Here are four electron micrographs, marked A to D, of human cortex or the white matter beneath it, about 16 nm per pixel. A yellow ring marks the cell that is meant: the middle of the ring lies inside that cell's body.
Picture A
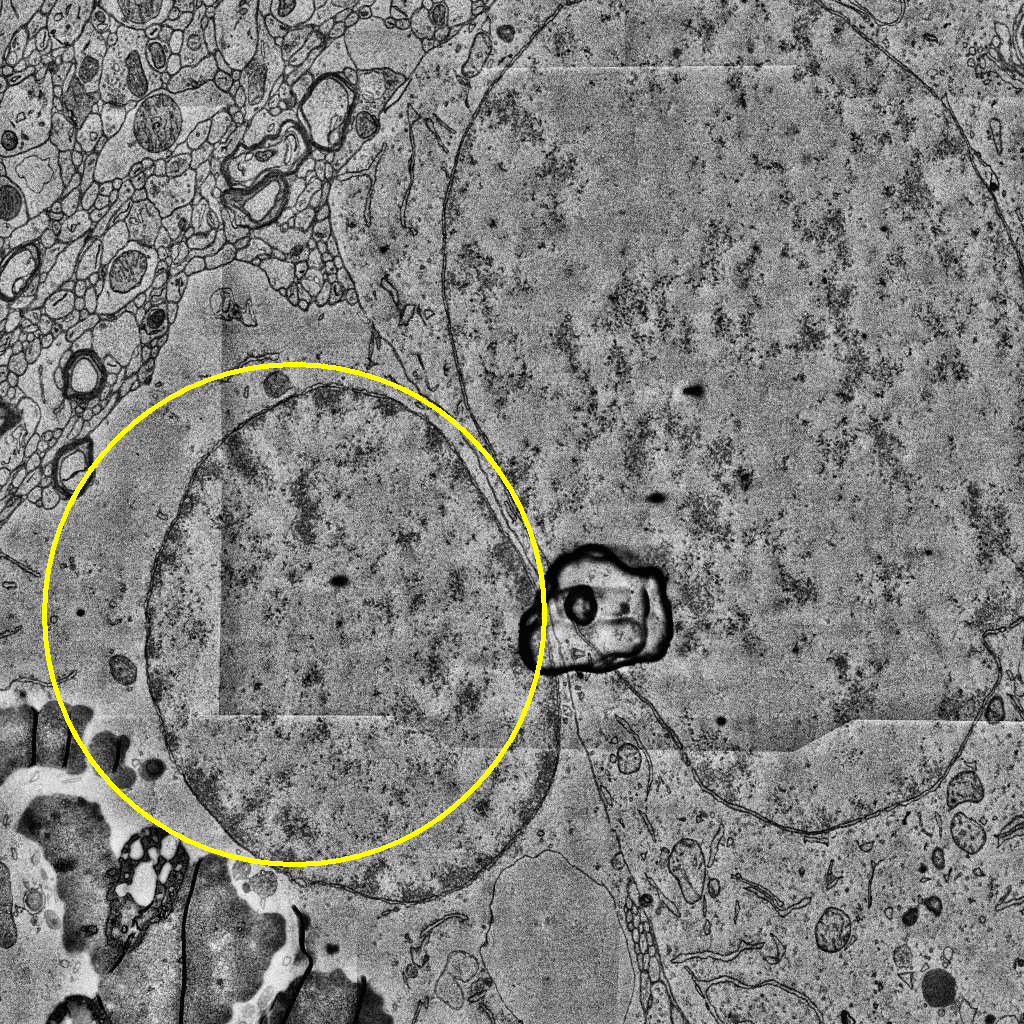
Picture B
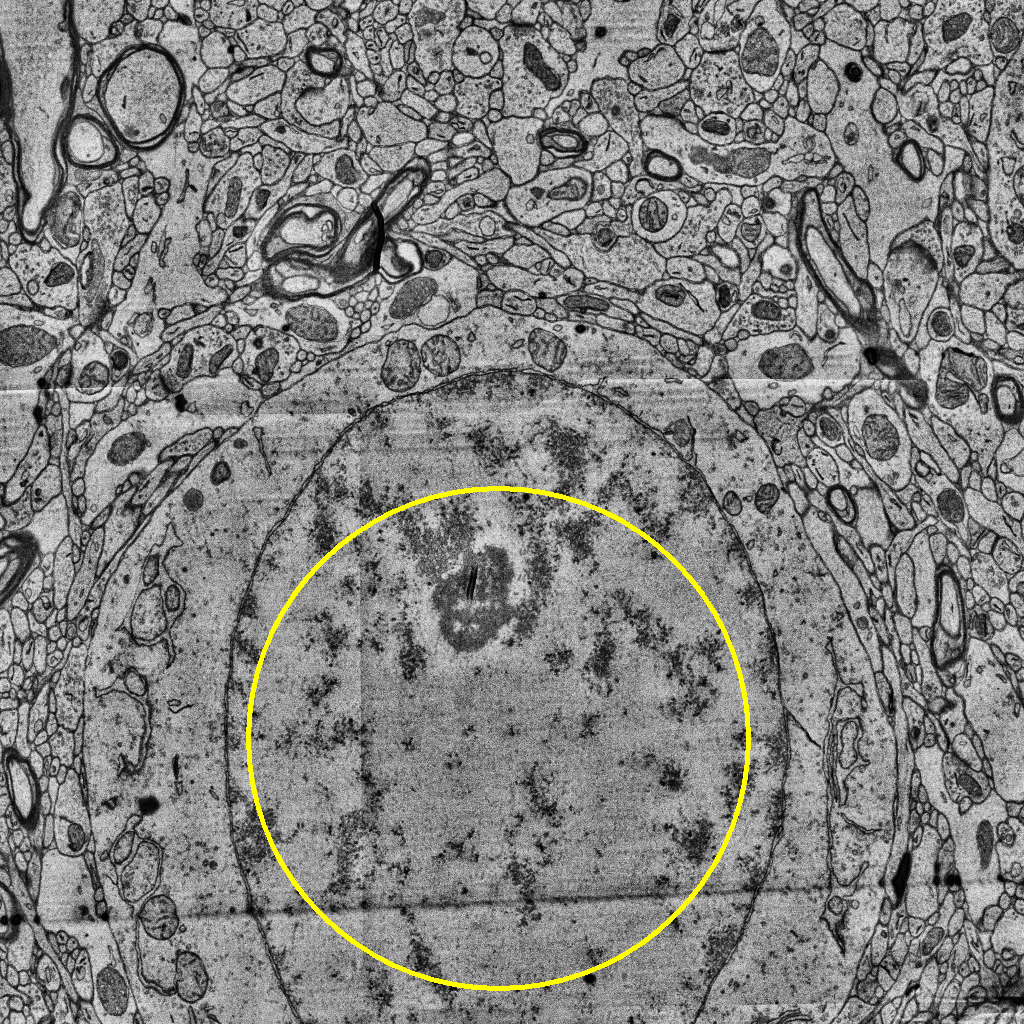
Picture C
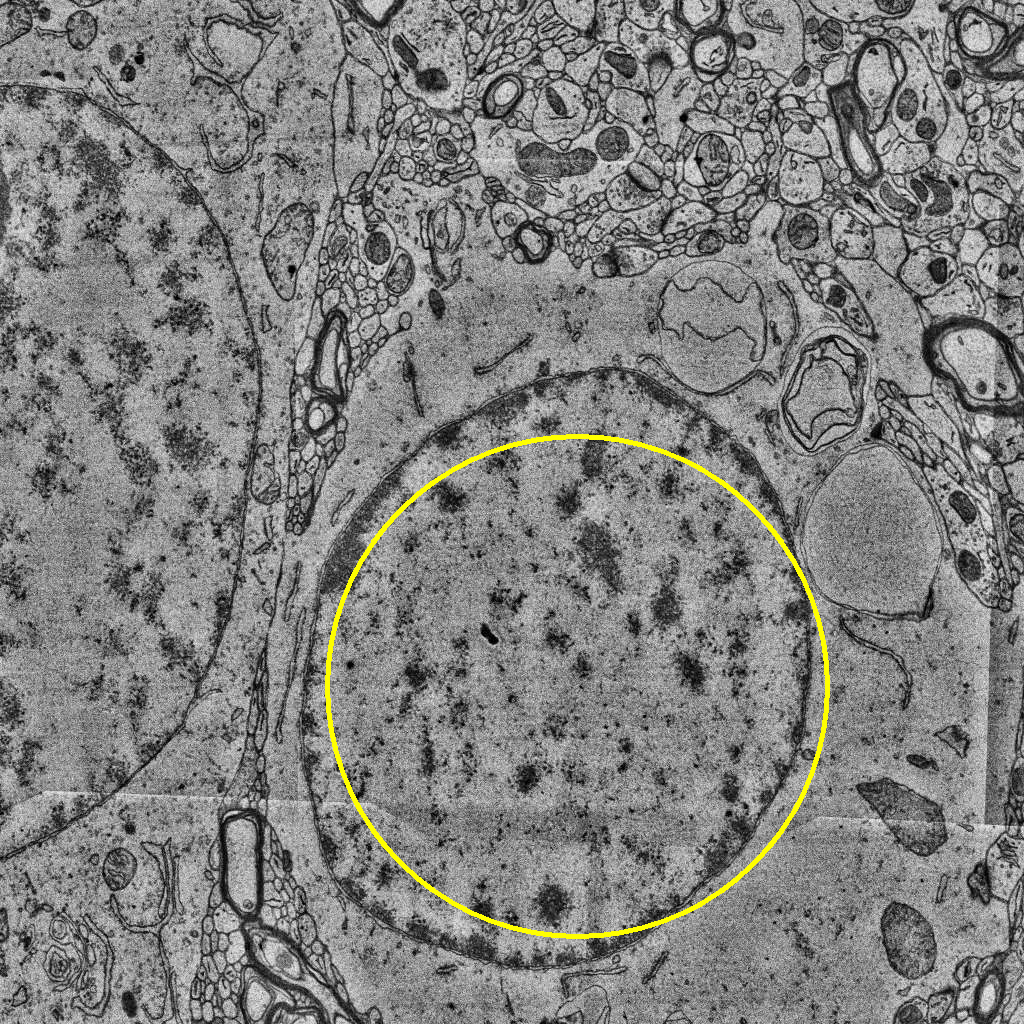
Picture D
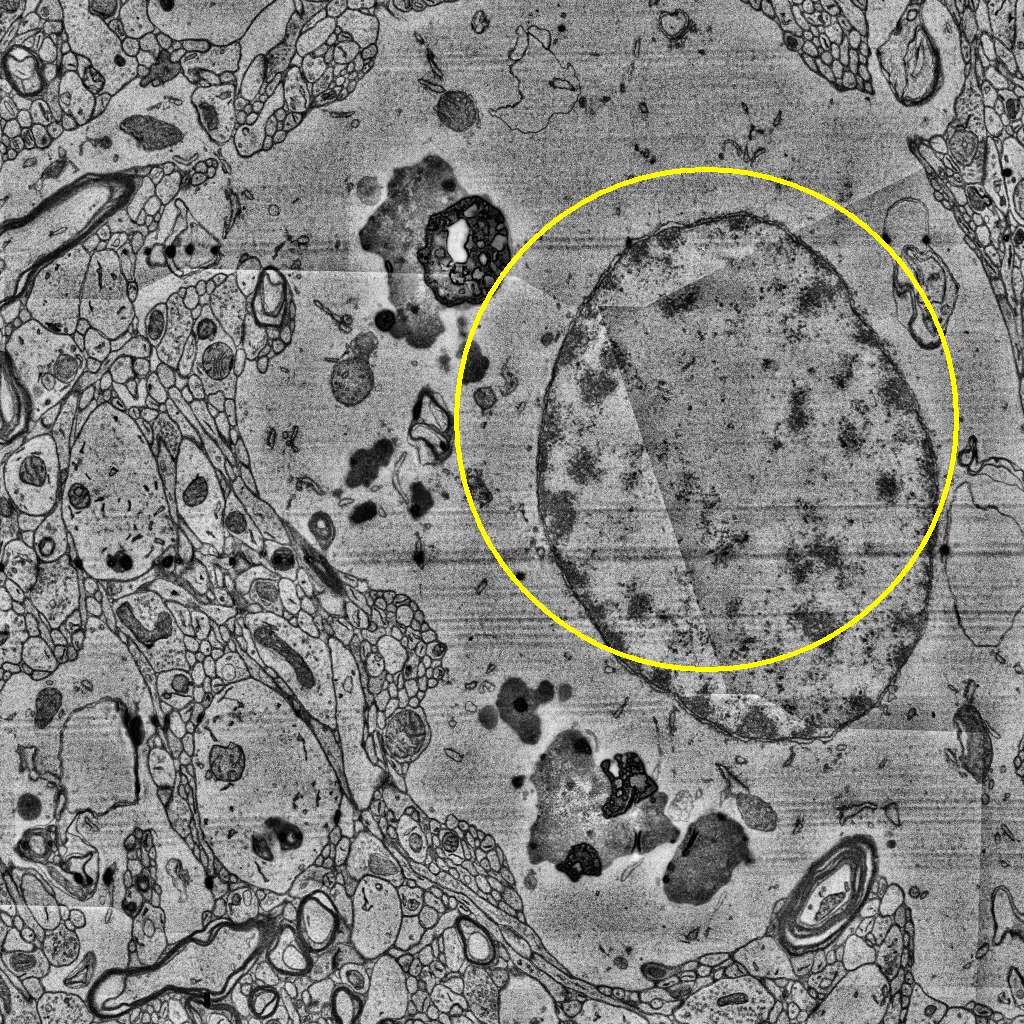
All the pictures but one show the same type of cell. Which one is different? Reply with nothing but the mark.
B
